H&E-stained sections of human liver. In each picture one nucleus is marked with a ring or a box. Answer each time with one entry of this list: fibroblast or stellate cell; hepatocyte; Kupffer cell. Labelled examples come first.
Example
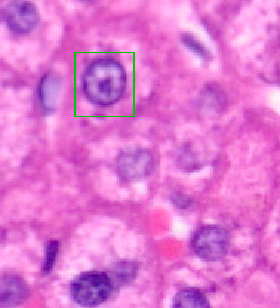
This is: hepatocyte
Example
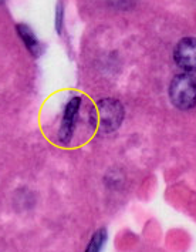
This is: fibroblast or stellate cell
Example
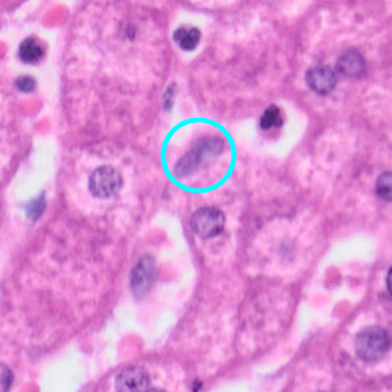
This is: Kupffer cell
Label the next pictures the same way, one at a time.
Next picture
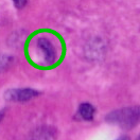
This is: fibroblast or stellate cell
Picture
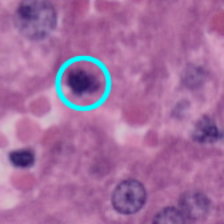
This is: fibroblast or stellate cell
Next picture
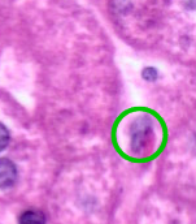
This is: Kupffer cell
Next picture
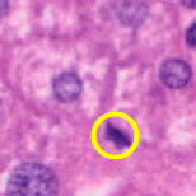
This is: fibroblast or stellate cell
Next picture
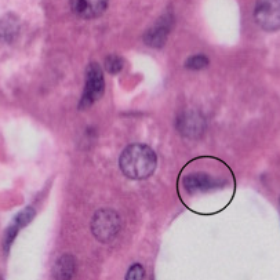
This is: fibroblast or stellate cell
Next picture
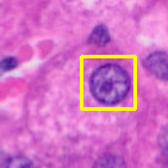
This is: hepatocyte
